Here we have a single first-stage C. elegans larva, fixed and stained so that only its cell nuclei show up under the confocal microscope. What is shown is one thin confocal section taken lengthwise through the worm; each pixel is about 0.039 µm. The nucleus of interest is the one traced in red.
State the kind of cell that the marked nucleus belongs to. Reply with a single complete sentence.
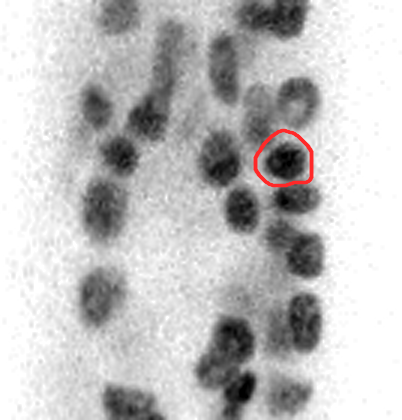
It is the nucleus of a neuron.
